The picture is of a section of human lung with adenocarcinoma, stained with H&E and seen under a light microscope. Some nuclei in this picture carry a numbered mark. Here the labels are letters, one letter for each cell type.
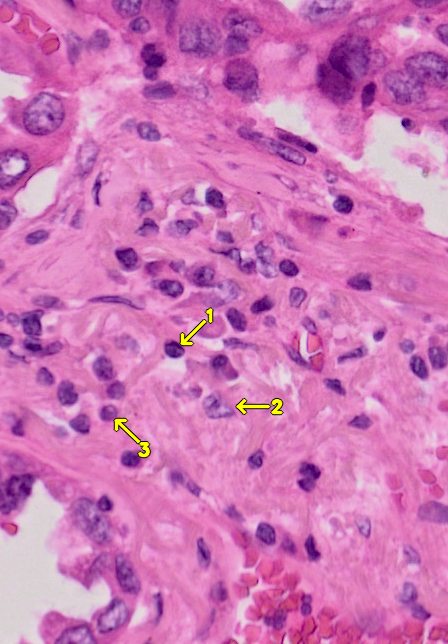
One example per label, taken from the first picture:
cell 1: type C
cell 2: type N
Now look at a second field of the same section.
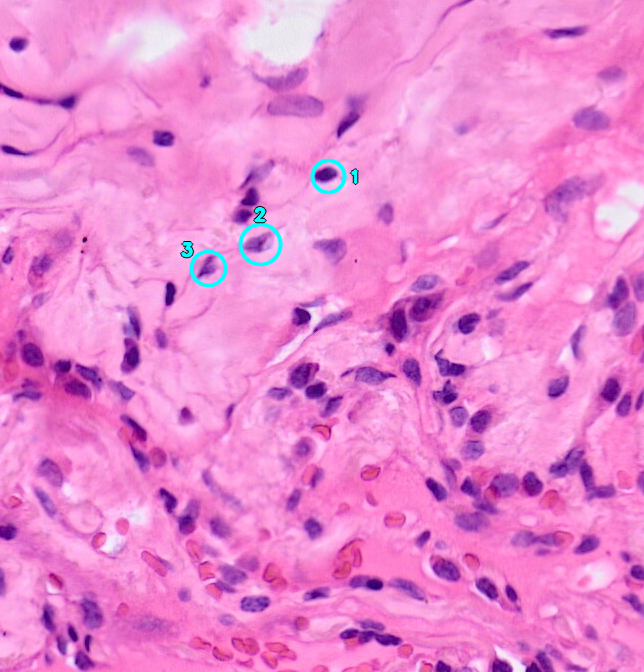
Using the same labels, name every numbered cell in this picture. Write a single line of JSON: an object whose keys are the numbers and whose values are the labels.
{"1": "type C", "2": "type N", "3": "type N"}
